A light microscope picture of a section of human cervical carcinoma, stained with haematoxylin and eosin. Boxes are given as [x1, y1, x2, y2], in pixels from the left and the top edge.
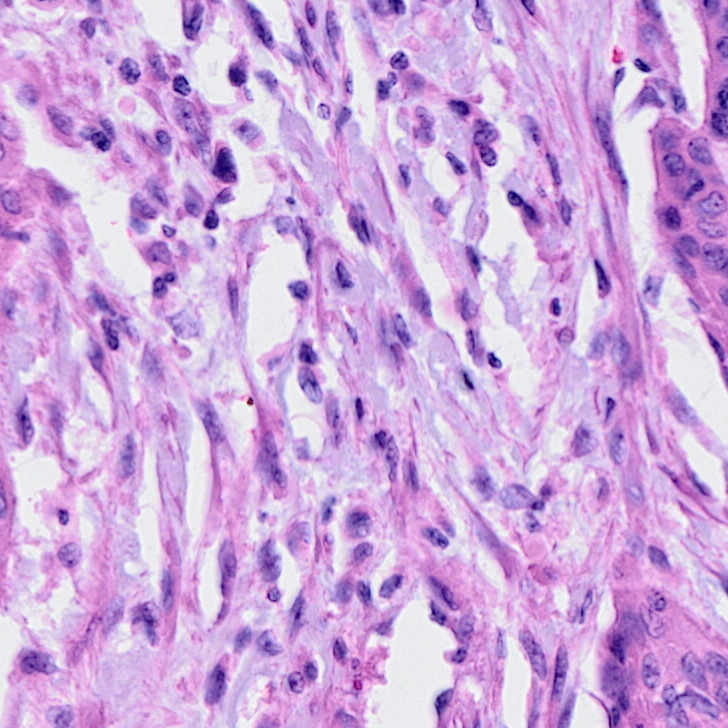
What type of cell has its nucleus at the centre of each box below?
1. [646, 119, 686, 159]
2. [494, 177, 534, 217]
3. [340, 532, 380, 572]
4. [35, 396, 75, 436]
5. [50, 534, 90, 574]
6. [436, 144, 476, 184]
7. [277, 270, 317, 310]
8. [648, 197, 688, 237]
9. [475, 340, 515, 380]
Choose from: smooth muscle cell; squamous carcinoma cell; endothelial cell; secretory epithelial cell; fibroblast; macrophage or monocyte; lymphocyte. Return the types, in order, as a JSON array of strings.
["squamous carcinoma cell", "lymphocyte", "macrophage or monocyte", "fibroblast", "macrophage or monocyte", "lymphocyte", "lymphocyte", "squamous carcinoma cell", "lymphocyte"]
